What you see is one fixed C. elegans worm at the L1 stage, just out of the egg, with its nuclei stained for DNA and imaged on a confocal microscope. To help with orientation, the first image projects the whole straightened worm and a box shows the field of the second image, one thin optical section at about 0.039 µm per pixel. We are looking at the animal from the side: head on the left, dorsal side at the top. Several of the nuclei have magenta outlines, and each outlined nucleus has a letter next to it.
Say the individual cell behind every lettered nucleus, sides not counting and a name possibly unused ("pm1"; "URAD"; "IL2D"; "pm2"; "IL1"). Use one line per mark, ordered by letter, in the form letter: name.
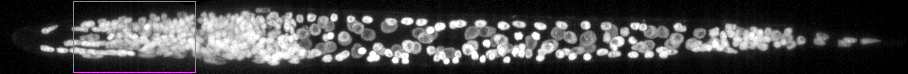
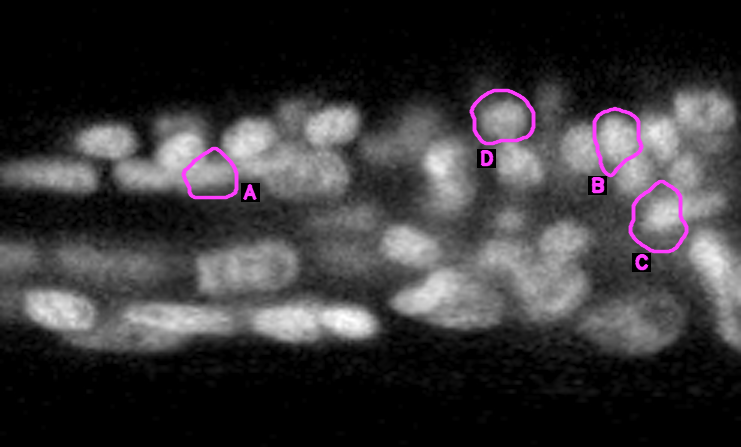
A: pm2
B: URAD
C: IL1
D: IL2D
